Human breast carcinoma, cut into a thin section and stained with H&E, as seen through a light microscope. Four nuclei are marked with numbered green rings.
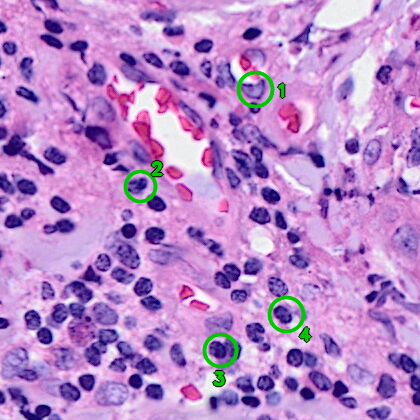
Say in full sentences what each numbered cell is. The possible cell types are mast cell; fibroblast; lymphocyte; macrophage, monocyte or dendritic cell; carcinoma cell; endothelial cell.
Cell 1 is an endothelial cell, cell 2 is a lymphocyte, cell 3 is a lymphocyte and cell 4 is a lymphocyte.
